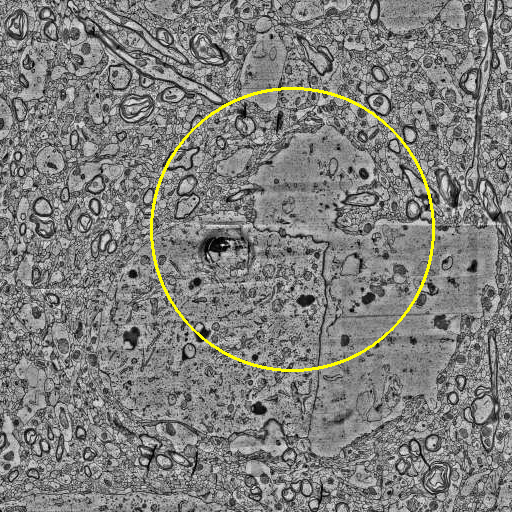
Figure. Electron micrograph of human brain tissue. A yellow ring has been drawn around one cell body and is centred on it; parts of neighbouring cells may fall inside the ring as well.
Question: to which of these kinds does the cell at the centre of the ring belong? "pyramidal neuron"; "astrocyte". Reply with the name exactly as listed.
astrocyte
